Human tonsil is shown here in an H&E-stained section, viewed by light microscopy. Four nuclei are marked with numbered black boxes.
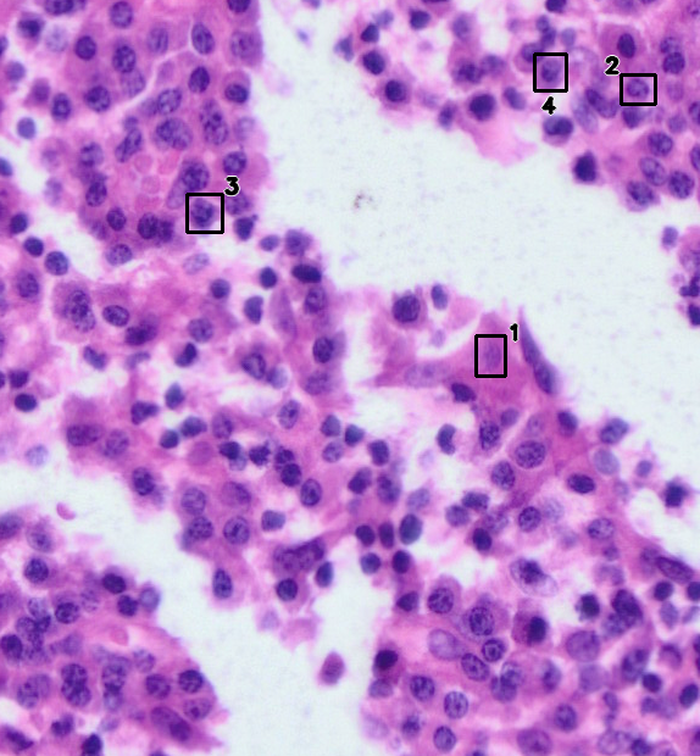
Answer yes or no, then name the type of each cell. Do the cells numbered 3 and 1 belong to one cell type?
No; cell 3 is a plasma cell, whereas cell 1 is a squamous epithelial cell.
